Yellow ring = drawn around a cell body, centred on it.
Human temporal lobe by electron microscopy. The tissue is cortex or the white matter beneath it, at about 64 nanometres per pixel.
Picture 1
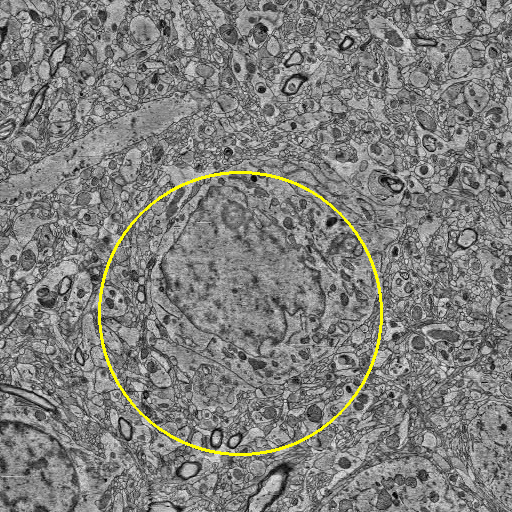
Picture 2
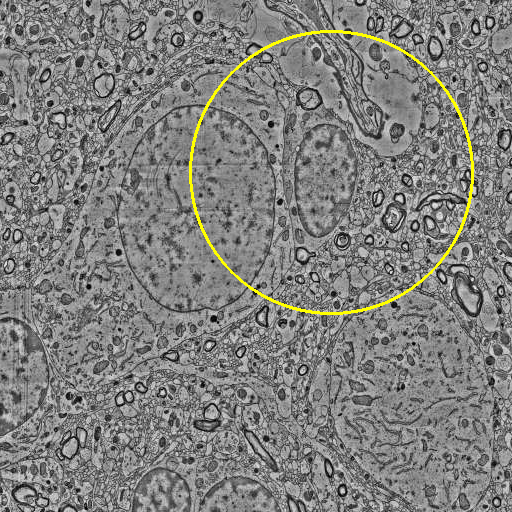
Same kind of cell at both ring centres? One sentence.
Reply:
No, they are two kinds of cell.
